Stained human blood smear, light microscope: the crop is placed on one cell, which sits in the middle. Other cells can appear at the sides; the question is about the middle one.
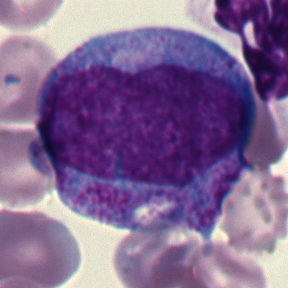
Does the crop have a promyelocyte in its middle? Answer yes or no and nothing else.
yes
